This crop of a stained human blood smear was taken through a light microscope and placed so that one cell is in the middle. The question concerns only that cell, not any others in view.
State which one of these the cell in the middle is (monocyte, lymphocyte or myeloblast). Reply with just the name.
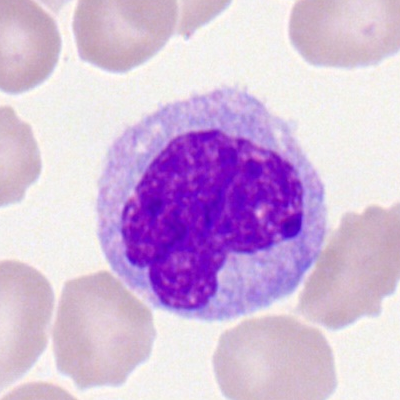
monocyte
